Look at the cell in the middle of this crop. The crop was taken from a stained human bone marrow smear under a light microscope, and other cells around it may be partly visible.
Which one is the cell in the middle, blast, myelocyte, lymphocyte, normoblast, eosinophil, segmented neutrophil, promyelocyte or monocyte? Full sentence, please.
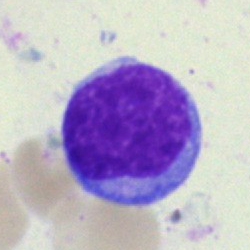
Positioned in the middle of the crop is a blast.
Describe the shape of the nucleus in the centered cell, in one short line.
Between us, the nucleus here is just one compact mass, round, oval or kidney-shaped.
